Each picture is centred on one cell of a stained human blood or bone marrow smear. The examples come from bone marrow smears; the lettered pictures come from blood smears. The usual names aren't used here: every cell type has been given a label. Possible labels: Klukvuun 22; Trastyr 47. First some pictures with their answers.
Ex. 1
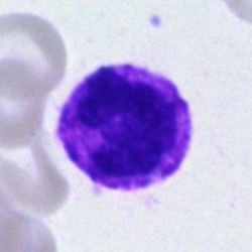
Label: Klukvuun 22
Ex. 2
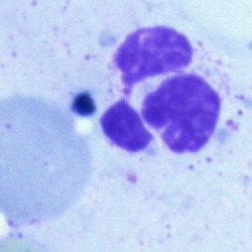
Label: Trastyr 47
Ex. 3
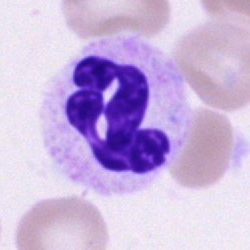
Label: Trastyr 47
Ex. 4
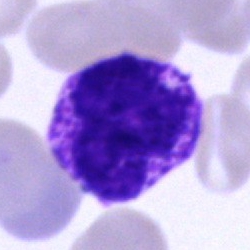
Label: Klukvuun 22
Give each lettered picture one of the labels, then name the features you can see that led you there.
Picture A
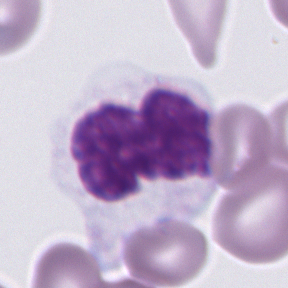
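Trastyr 47. The cytoplasm is abundant and very pale greyish-blue.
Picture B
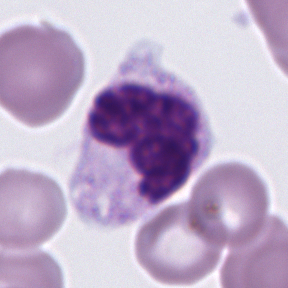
Trastyr 47. Fine pinkish-purple dust-like granules are scattered thinly through the cytoplasm.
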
